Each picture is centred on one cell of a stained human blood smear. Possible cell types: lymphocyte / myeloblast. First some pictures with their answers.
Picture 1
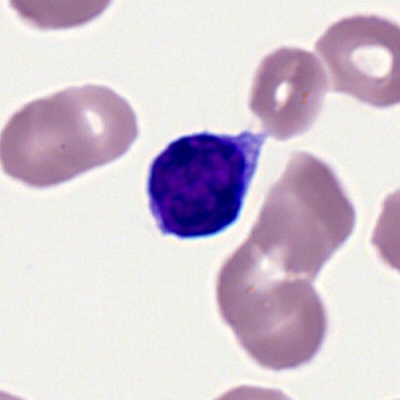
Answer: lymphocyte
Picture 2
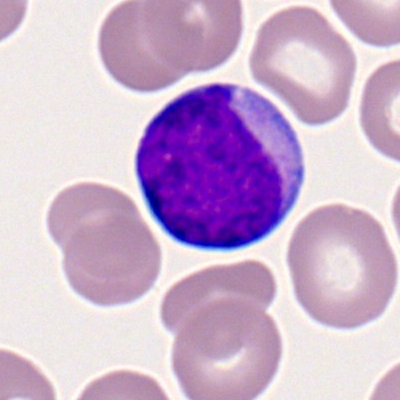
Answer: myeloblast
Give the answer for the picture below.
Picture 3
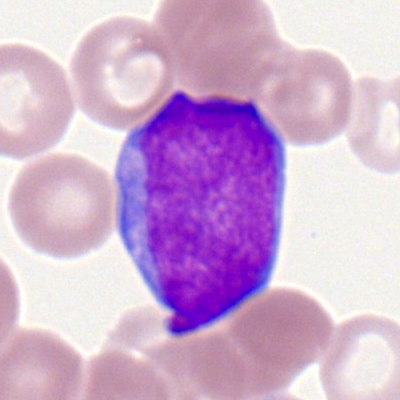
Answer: myeloblast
